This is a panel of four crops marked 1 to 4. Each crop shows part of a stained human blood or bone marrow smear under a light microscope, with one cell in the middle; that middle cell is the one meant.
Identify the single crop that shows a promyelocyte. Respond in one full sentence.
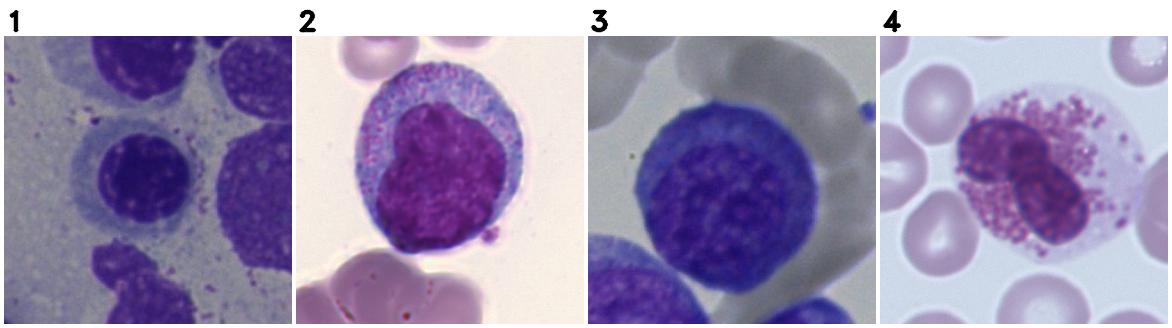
Crop 2 is the one that shows a promyelocyte.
